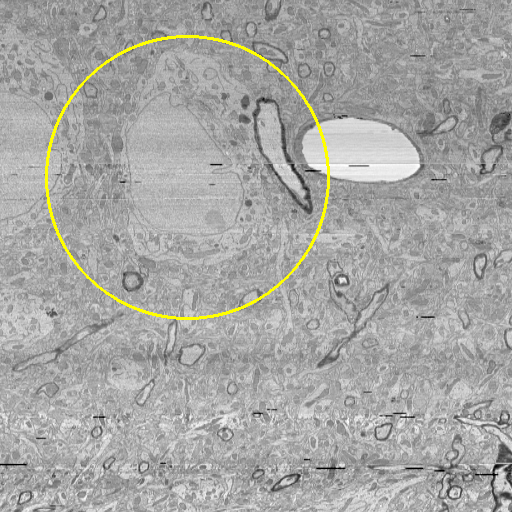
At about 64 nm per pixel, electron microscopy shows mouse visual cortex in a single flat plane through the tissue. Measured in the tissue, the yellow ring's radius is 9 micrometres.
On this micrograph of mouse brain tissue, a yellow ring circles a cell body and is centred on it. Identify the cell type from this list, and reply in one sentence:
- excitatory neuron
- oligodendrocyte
The cell at the centre is an excitatory neuron.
